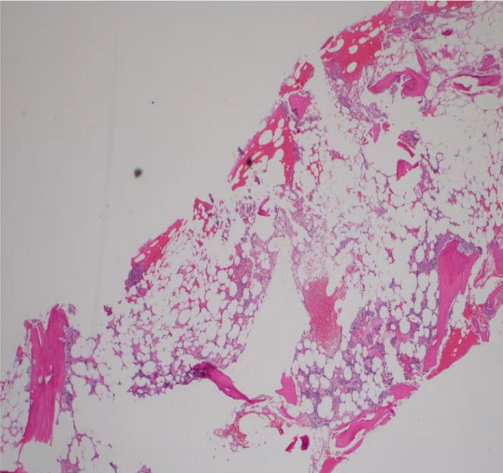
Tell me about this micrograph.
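A long core of bone marrow at low power, with pink bone trabeculae running along its edges and through it. Between the trabeculae the marrow spaces are taken up mostly by clear, round empty vacuoles of fat, packed like a honeycomb. Purple hematopoietic cells are scant, forming only thin strands and small patches between the fat vacuoles, and one space holds a pool of pink-red blood. The proportion of cells to fat is clearly lower than in a normally cellular marrow, so this is a hypocellular marrow.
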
